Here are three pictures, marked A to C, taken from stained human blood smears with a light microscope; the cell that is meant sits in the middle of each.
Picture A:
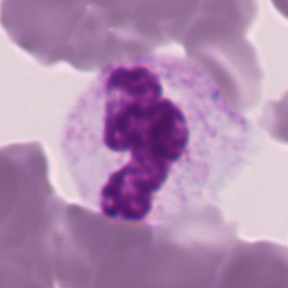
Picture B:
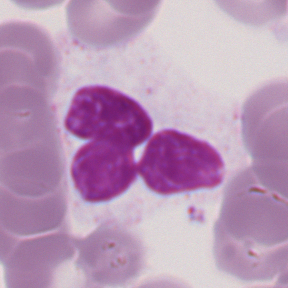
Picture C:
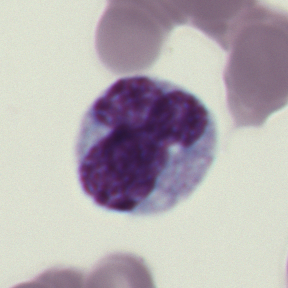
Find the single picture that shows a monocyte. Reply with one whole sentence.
The cell in picture C is the monocyte.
